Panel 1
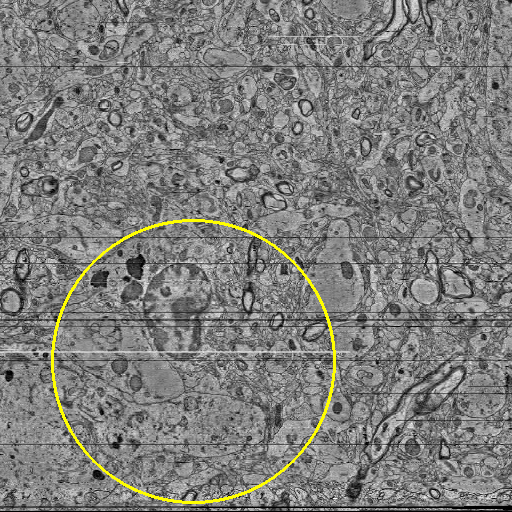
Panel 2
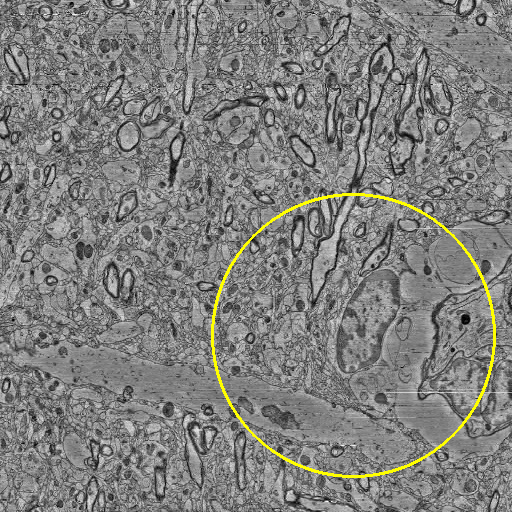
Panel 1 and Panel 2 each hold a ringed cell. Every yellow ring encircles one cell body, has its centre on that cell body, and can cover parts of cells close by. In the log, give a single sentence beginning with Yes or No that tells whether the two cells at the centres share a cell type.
Yes, in Panel 1 and Panel 2 the centred cells share a cell type.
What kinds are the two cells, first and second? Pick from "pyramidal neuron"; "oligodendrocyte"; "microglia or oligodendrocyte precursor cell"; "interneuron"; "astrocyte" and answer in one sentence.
Both the first and the second picture show a microglial cell or oligodendrocyte precursor cell in the ring.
